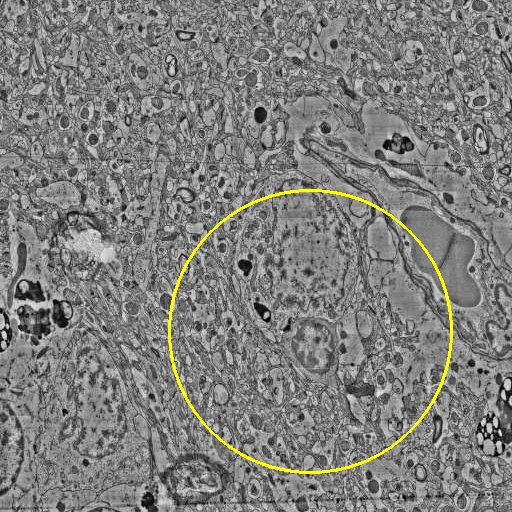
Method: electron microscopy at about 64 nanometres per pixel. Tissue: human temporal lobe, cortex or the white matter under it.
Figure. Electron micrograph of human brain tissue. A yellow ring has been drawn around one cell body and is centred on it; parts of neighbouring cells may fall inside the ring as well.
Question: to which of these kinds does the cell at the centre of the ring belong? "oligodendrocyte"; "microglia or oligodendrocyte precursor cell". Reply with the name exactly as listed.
oligodendrocyte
